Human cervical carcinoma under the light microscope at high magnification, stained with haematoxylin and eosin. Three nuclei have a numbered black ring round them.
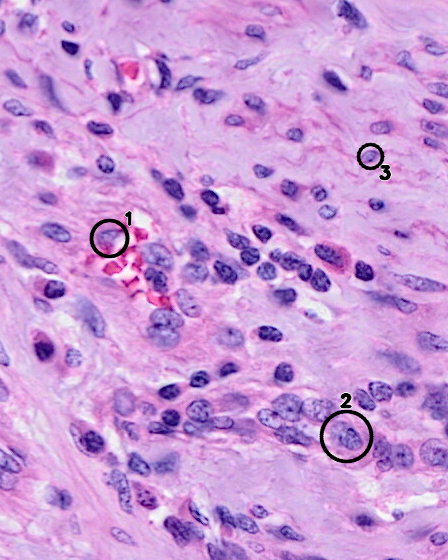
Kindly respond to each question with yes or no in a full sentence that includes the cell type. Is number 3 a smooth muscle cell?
Yes, the cell with number 3 is a smooth muscle cell.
